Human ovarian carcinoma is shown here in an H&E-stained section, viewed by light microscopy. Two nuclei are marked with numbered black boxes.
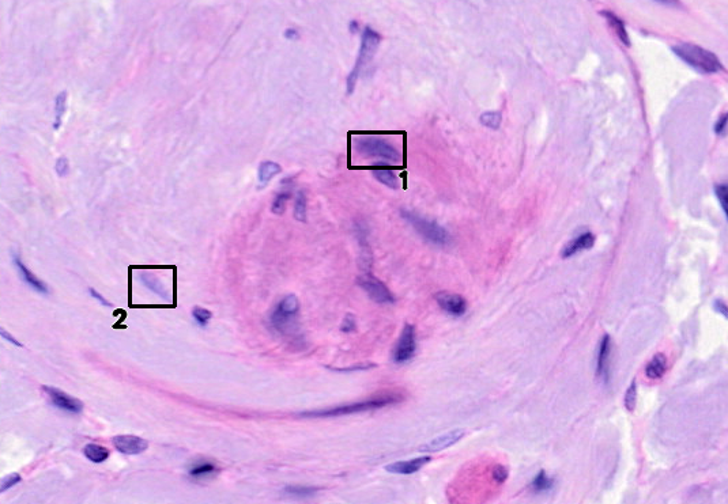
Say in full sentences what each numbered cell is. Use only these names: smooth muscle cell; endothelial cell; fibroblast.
Cell 1 is a smooth muscle cell. Cell 2 is a fibroblast.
